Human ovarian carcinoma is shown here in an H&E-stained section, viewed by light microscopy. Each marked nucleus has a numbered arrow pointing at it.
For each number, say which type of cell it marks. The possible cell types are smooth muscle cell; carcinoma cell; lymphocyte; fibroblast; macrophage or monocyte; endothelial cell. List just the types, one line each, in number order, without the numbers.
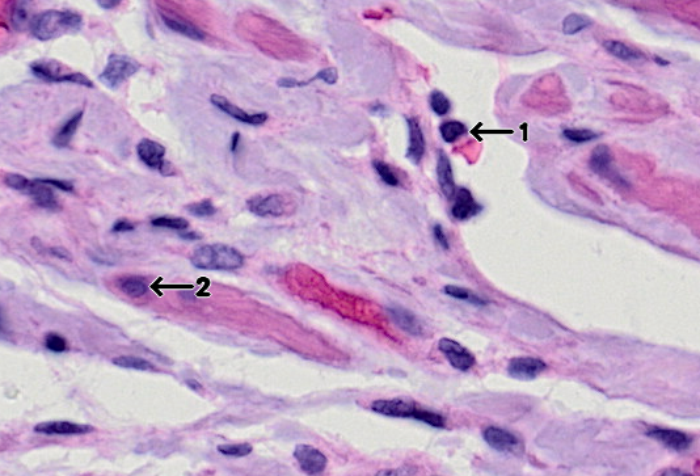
lymphocyte
smooth muscle cell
